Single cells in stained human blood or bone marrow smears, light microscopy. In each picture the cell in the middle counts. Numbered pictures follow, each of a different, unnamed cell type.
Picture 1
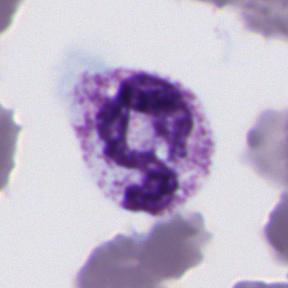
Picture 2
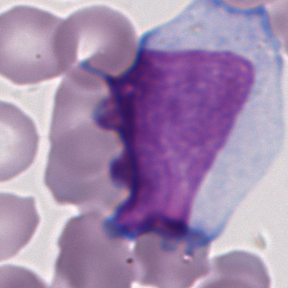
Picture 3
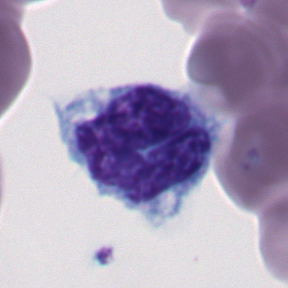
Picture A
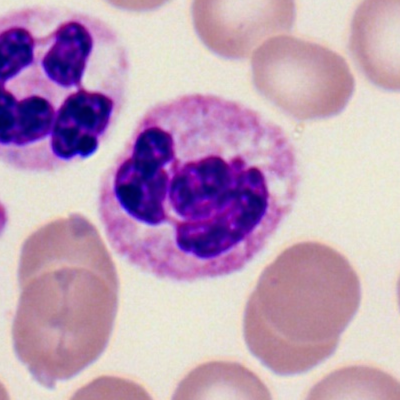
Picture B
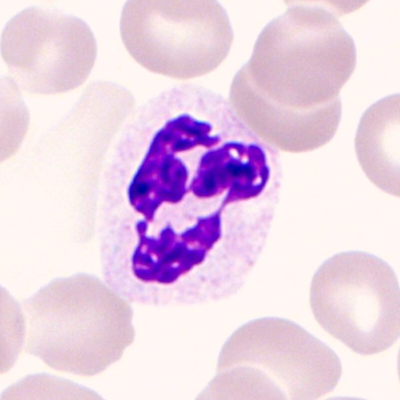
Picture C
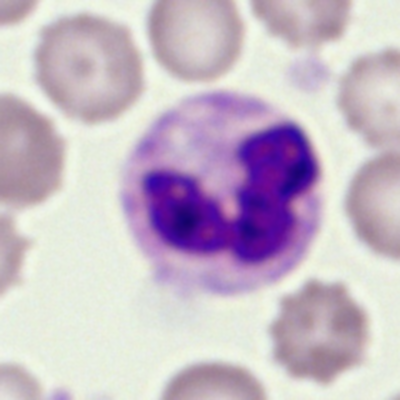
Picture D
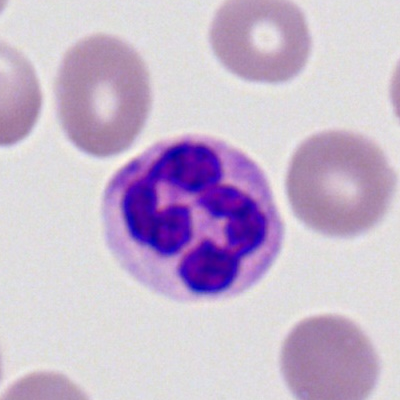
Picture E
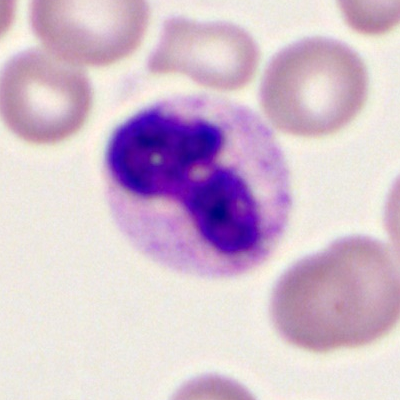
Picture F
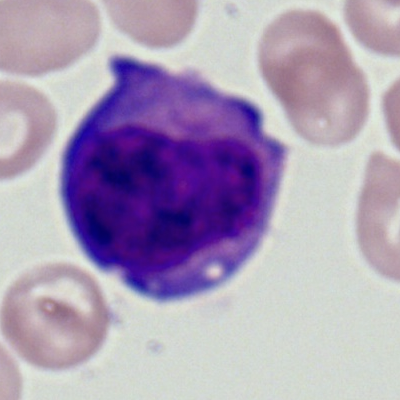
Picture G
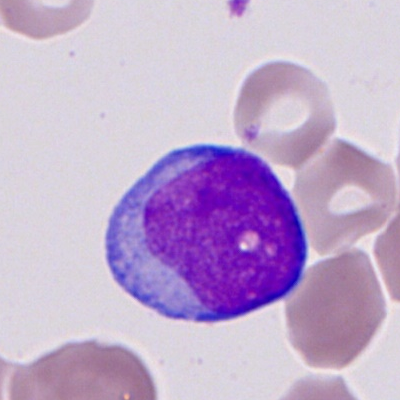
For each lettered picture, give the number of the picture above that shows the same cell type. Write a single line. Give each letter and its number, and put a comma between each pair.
A 1, B 1, C 1, D 1, E 1, F 2, G 2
